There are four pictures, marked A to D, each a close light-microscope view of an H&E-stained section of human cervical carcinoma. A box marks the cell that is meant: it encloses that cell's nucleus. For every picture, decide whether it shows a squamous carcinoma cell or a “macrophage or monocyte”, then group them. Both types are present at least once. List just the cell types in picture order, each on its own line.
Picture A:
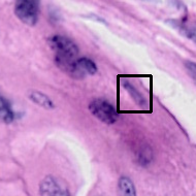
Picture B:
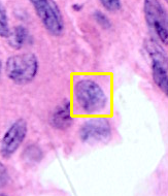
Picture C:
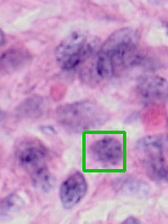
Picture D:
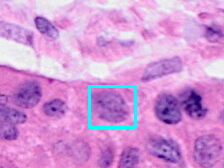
squamous carcinoma cell
squamous carcinoma cell
macrophage or monocyte
squamous carcinoma cell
